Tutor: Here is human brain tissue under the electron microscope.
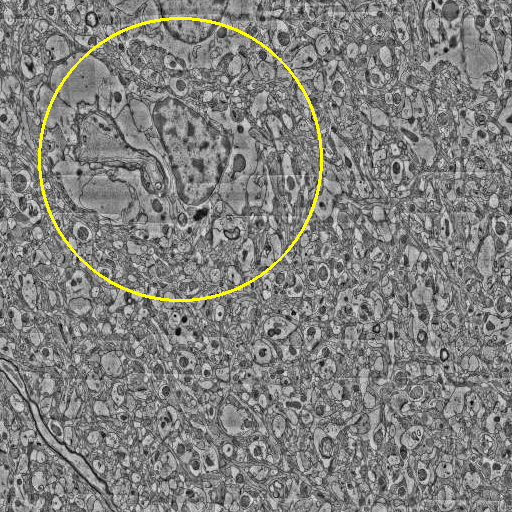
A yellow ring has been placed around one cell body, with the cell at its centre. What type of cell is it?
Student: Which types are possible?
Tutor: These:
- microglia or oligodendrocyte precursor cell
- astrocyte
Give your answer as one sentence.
What the ring picks out here is a microglial cell or oligodendrocyte precursor cell.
